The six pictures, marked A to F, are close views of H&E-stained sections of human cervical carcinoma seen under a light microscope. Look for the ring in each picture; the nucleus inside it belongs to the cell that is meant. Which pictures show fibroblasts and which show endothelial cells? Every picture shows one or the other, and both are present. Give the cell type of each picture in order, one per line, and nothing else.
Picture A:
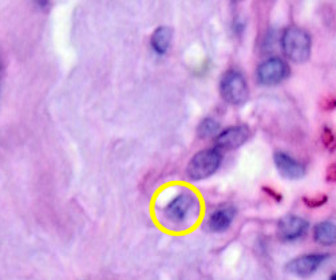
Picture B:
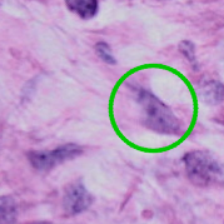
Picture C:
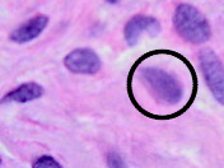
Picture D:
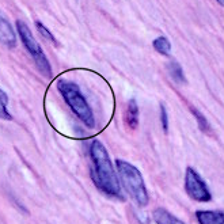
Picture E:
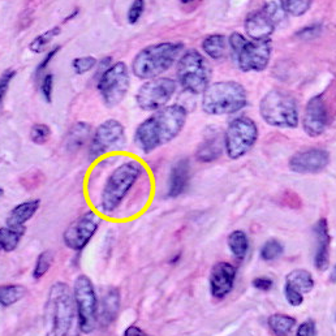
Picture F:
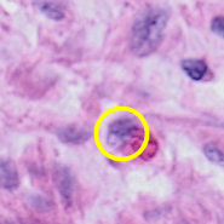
endothelial cell
fibroblast
fibroblast
endothelial cell
endothelial cell
endothelial cell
